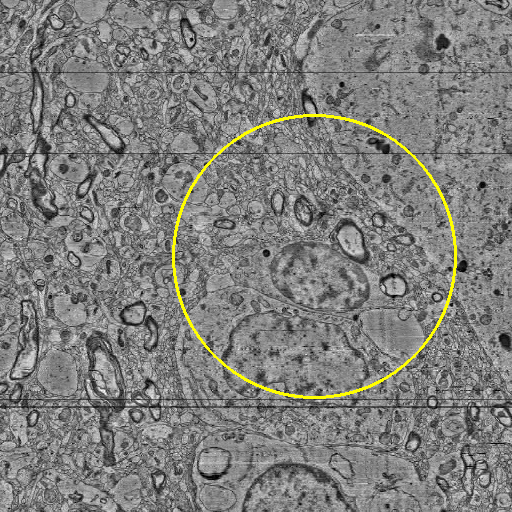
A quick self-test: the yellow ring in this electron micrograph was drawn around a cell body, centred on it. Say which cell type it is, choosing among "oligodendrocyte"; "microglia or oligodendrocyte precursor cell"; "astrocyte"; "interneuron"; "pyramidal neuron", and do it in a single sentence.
The yellow-ringed cell is an oligodendrocyte.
